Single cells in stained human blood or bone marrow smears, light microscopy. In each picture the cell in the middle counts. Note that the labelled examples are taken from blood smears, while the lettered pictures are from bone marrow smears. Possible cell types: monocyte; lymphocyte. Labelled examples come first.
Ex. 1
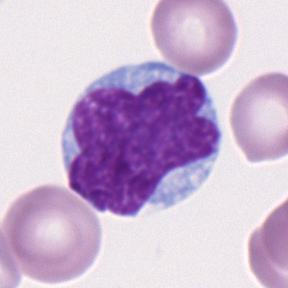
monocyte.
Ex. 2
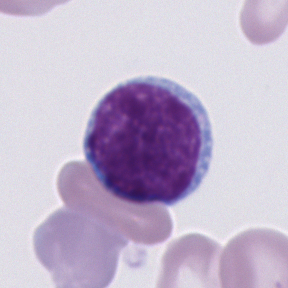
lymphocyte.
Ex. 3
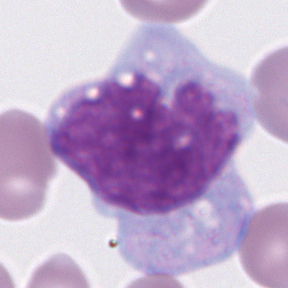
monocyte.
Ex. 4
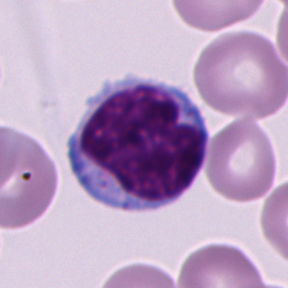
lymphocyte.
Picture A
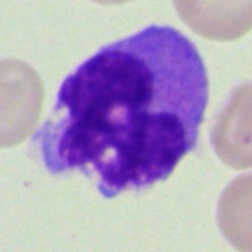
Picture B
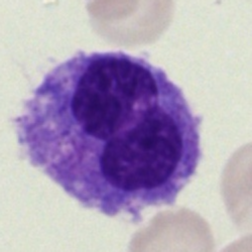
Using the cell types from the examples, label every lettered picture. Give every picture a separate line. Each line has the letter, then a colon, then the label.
A: monocyte.
B: monocyte.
